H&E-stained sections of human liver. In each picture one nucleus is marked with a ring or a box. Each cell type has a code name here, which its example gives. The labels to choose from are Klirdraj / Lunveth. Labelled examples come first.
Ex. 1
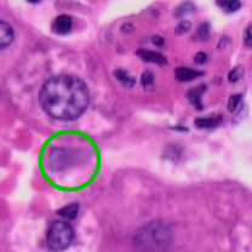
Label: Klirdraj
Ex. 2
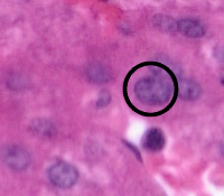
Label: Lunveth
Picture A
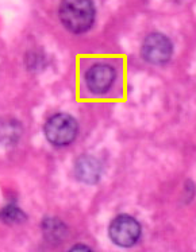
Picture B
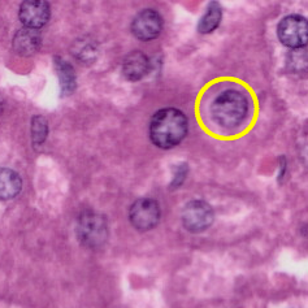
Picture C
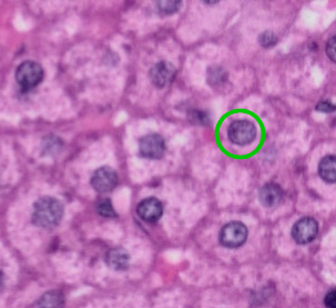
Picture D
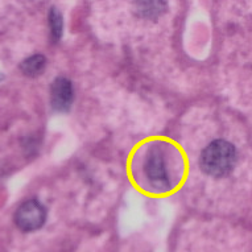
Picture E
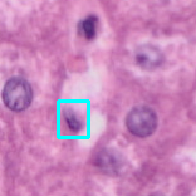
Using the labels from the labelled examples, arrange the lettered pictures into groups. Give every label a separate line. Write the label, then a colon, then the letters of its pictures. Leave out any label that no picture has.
Klirdraj: D, E
Lunveth: A, B, C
